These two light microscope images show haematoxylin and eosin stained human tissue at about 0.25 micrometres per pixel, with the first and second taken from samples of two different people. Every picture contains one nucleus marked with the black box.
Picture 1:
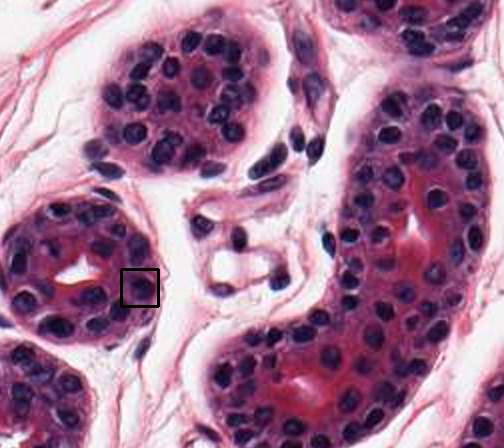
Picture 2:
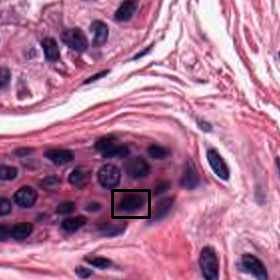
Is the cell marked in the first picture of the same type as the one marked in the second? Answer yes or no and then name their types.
Yes, both are sweat gland cells.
